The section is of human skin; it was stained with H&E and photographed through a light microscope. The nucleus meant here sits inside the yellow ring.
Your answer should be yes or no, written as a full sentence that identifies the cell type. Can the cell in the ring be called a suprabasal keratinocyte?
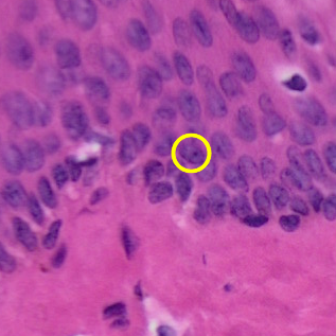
No, a basal keratinocyte is what the cell in the ring is, not a suprabasal keratinocyte.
